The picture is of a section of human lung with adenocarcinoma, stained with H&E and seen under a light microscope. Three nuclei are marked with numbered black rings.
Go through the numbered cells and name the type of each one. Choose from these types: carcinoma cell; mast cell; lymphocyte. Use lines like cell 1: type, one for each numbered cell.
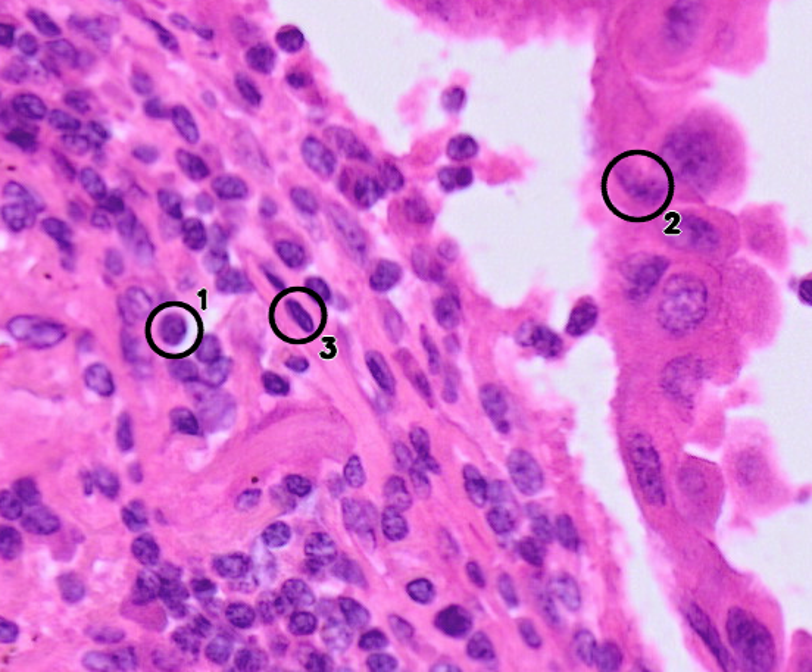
cell 1: lymphocyte
cell 2: carcinoma cell
cell 3: lymphocyte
